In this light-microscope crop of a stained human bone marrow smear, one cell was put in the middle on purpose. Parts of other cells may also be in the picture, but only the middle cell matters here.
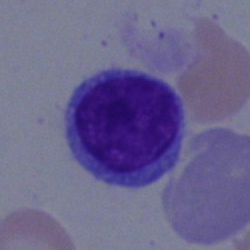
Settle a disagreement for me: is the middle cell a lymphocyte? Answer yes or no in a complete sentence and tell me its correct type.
Yes, the middle cell in this crop is a lymphocyte.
